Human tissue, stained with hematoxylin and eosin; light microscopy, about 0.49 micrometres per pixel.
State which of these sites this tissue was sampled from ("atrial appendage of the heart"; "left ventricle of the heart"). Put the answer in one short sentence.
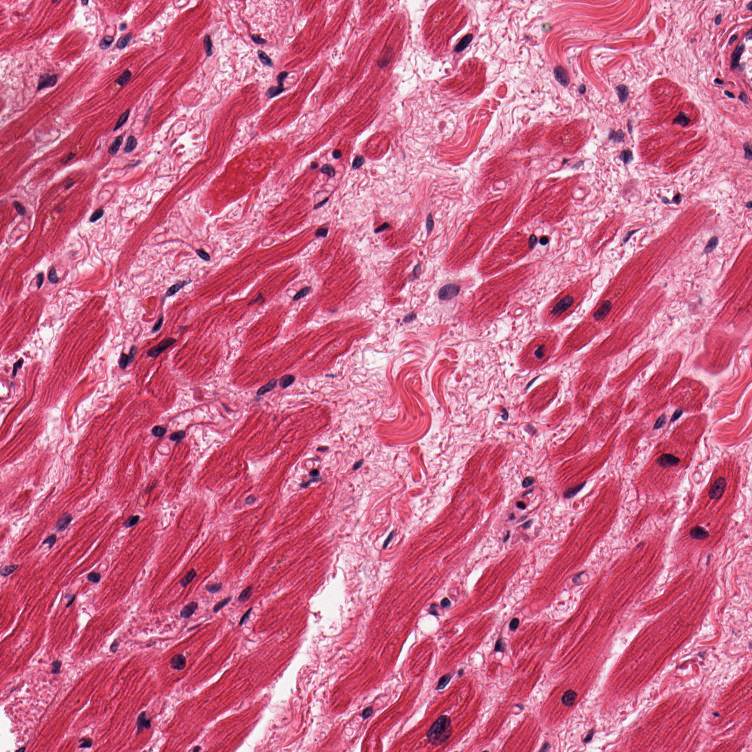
The site this tissue was sampled from is the atrial appendage of the heart.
